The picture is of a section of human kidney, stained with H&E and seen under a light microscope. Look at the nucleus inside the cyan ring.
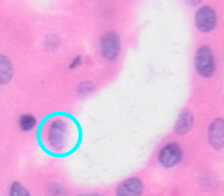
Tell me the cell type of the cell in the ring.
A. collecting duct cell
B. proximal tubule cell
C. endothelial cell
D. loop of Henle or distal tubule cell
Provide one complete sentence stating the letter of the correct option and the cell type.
Among the choices, option D is correct, the cell in the ring being a loop of Henle or distal tubule cell.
